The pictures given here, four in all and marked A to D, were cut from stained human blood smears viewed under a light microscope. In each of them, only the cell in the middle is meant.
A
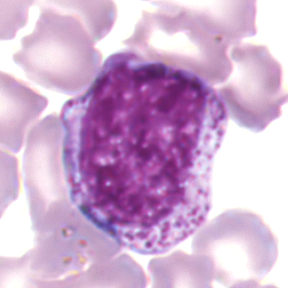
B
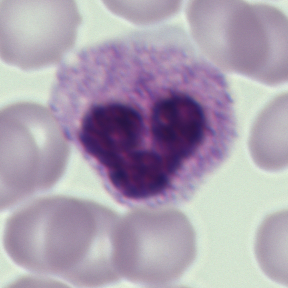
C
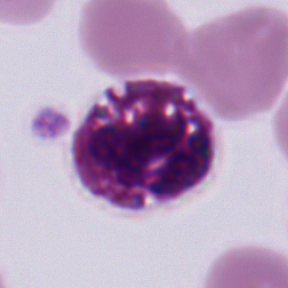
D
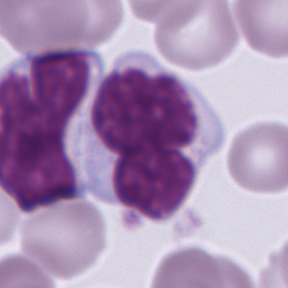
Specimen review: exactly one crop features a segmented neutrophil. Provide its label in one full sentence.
As for which crop shows a segmented neutrophil, it is crop B.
